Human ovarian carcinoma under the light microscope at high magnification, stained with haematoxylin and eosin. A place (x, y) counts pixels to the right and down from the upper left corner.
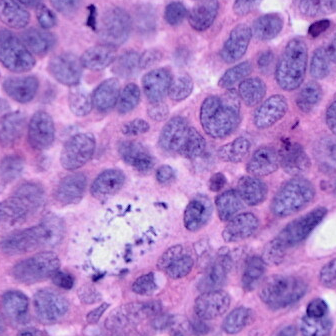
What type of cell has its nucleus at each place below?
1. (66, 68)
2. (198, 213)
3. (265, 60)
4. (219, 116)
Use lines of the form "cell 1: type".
cell 1: carcinoma cell
cell 2: macrophage or monocyte
cell 3: carcinoma cell
cell 4: carcinoma cell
